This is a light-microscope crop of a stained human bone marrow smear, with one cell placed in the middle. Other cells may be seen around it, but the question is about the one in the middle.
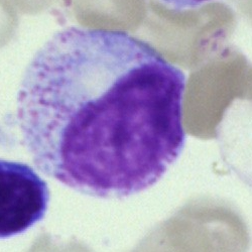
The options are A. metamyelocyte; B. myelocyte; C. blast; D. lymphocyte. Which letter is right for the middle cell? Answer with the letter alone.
B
